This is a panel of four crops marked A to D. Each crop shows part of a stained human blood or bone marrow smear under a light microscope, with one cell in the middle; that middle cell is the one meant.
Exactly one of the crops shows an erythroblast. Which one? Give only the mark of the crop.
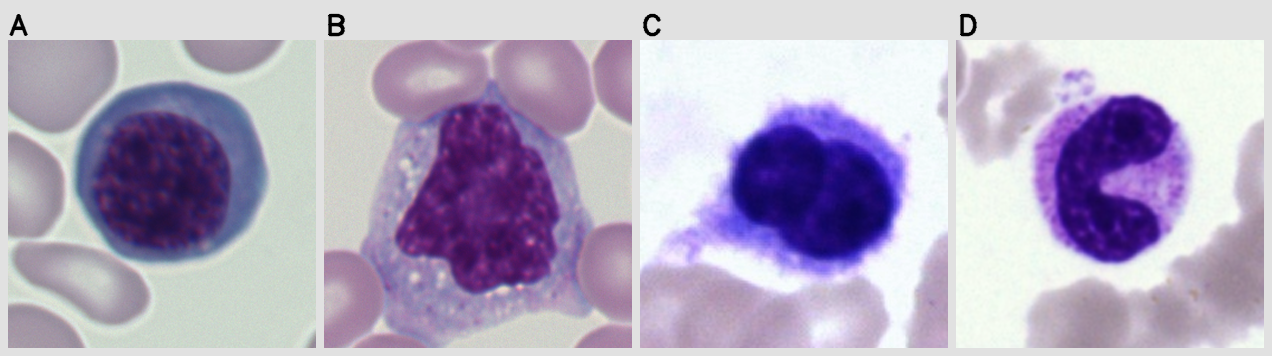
A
